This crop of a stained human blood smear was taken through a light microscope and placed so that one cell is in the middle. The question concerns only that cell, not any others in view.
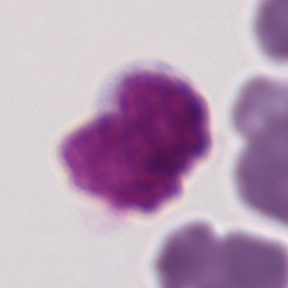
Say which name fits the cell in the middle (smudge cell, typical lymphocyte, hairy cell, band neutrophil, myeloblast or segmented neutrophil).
smudge cell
